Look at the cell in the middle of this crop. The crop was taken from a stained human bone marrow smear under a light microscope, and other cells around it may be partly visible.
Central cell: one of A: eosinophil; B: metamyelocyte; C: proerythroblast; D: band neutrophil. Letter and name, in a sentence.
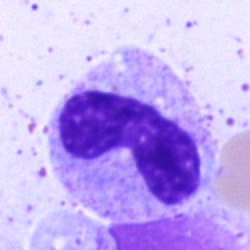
The central cell in this crop is a band neutrophil, corresponding to option D, the correct option.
